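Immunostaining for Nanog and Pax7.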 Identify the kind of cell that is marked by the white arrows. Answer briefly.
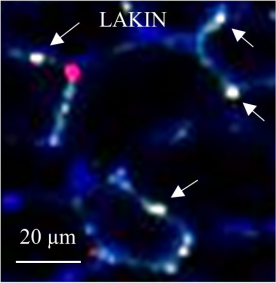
Myogenic progenitors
